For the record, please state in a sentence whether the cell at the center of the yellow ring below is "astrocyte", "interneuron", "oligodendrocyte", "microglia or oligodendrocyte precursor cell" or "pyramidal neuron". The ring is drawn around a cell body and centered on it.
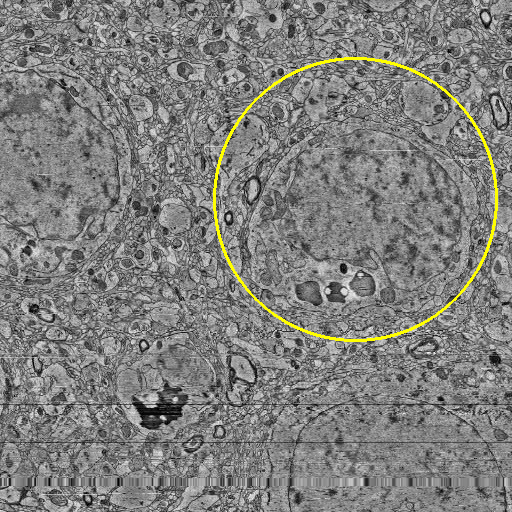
The cell at the ring's center is an interneuron.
